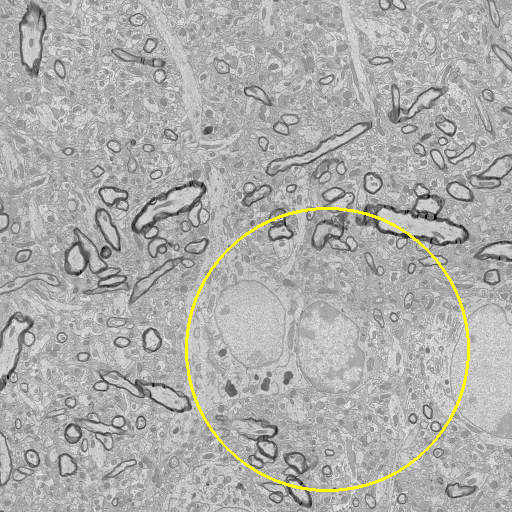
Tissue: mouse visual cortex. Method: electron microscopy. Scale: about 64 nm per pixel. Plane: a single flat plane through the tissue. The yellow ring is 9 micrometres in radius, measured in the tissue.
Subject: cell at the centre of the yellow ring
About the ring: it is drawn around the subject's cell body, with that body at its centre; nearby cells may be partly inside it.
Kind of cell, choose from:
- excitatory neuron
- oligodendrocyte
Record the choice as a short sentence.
The subject cell is an oligodendrocyte.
